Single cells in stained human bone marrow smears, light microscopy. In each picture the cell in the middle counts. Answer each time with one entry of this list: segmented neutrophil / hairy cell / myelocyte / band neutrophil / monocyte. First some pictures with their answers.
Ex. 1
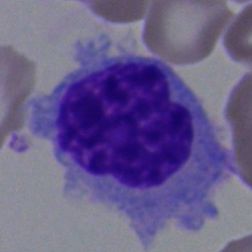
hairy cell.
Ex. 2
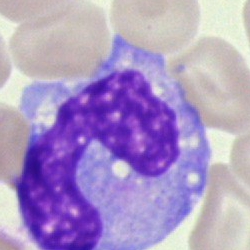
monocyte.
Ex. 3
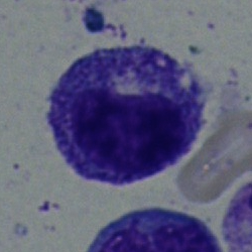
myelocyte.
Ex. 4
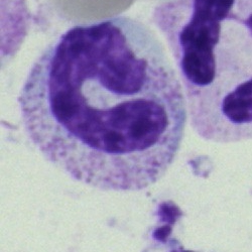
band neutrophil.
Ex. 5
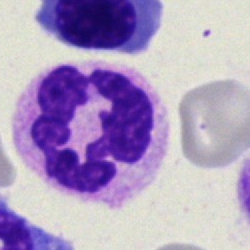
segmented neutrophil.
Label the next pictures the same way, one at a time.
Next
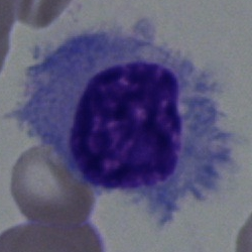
hairy cell.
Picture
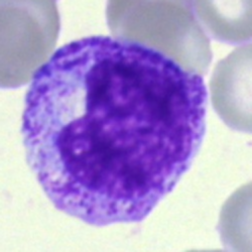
myelocyte.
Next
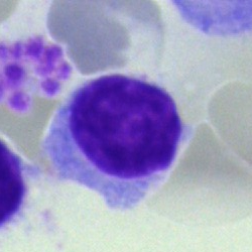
hairy cell.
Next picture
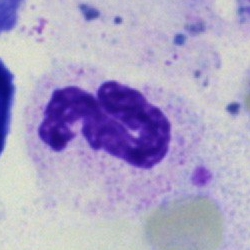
segmented neutrophil.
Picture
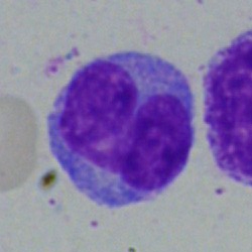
monocyte.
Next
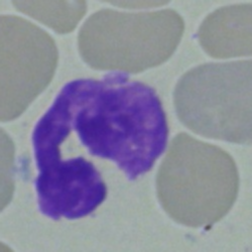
segmented neutrophil.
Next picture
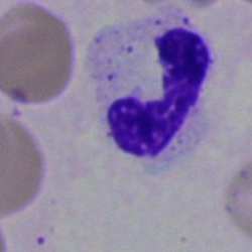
band neutrophil.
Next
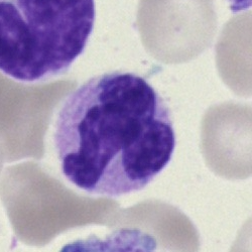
band neutrophil.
